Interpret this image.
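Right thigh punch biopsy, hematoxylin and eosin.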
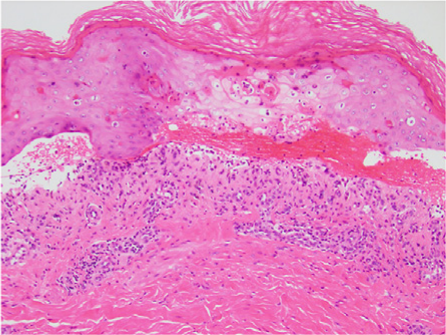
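The epidermis is separated from the dermis by a cleft filled with red blood cells, and the lifted epidermis is pale, glassy pink with many keratinocytes that have lost their nuclei or show small dark shrunken nuclei, under a normal-looking stratum corneum. Below the cleft, the upper dermis holds small dark-nucleated inflammatory cells clustered around vessels. This is a subepidermal blister with epidermal necrosis and a perivascular infiltrate of lymphocytes and histiocytes.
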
